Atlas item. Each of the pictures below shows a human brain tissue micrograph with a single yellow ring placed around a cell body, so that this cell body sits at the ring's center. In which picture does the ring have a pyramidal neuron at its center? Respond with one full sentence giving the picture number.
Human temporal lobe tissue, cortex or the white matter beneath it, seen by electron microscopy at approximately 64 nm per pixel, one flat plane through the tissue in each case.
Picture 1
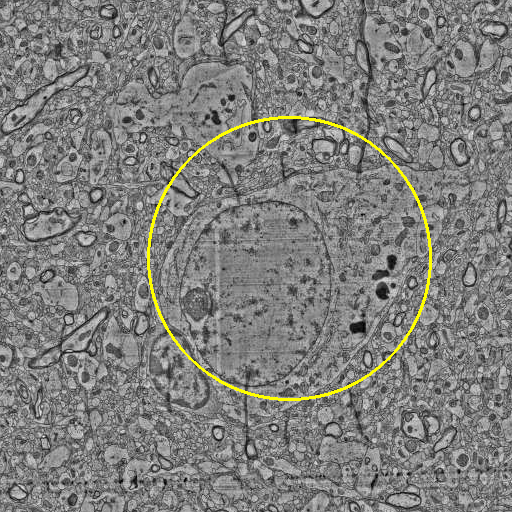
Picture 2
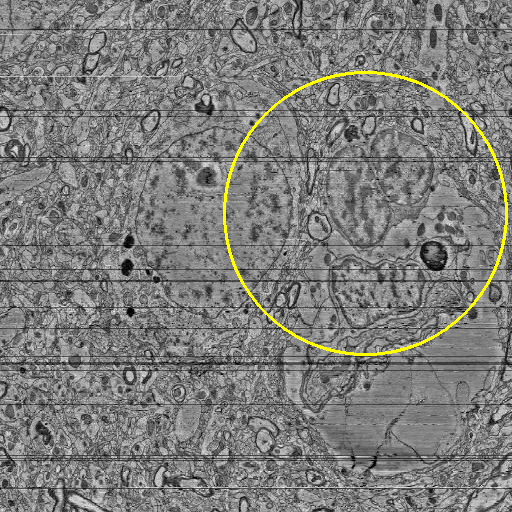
The cell at the ring's center that fits lies in picture 1.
